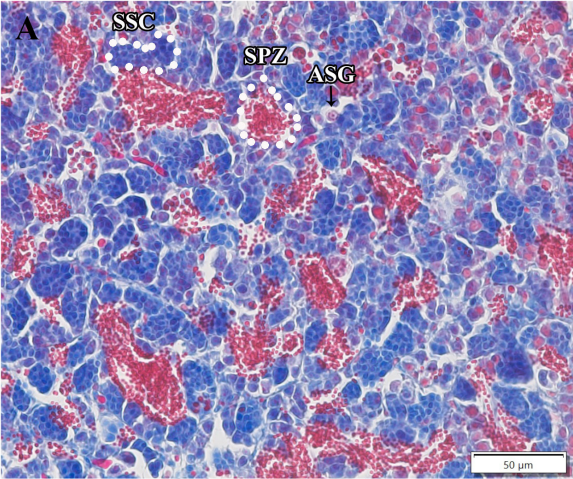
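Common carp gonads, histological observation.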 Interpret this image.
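This section of a fish testis shows germ cells at several stages packed in clusters separated by thin pale partitions. Larger germ cells with rounded nuclei stain blue and lie in tight groups. Masses of very small, uniformly red-stained cells fill the open spaces between these groups and are spermatozoa lying in lumens. A few scattered larger cells with pale round nuclei stand singly among the blue clusters. Thin pale strands of connective tissue outline the clusters throughout the field.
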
